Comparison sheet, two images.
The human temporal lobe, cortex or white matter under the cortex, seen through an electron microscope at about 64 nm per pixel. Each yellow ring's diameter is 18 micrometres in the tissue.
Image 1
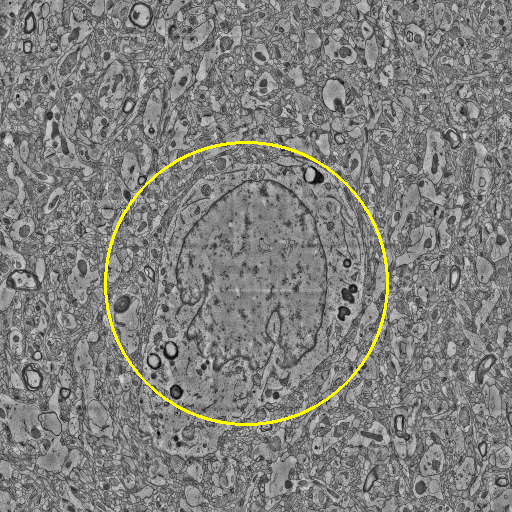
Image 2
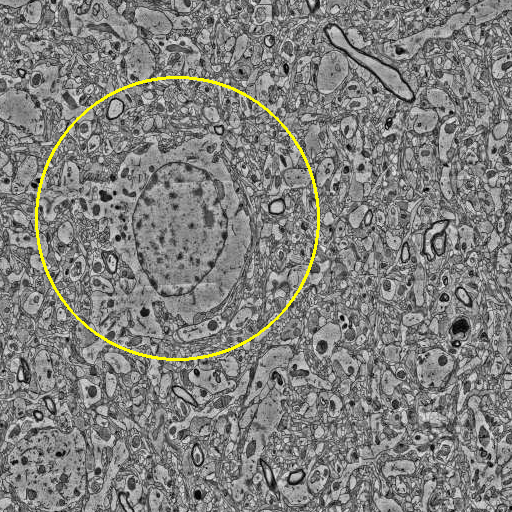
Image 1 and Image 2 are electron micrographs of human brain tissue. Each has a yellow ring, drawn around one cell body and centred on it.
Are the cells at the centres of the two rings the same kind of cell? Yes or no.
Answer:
no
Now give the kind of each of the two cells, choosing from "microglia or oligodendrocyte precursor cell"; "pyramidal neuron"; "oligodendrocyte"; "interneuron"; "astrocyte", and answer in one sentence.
The cell in the first picture is a pyramidal neuron, and the cell in the second is an astrocyte.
